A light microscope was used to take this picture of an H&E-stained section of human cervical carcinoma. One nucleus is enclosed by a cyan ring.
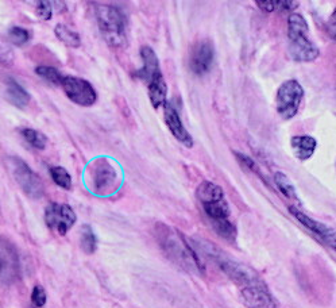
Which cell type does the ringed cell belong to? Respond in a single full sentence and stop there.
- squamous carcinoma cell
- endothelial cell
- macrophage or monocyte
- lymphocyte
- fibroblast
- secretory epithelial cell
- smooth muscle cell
The classification of the ringed cell is as a macrophage or monocyte.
